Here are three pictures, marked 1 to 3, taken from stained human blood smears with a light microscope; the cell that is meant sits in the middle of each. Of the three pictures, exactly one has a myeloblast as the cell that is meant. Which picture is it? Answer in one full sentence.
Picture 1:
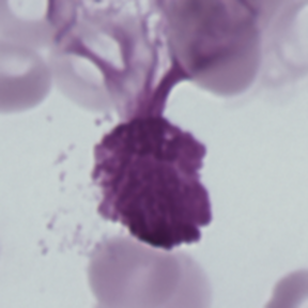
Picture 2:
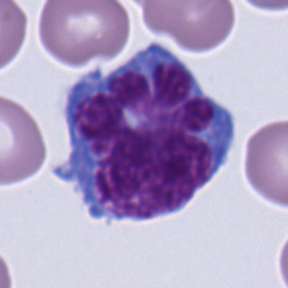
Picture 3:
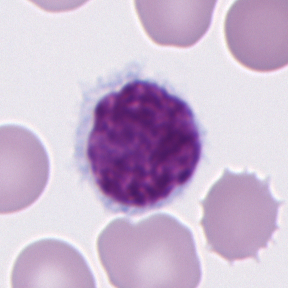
Picture 2 shows the myeloblast.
